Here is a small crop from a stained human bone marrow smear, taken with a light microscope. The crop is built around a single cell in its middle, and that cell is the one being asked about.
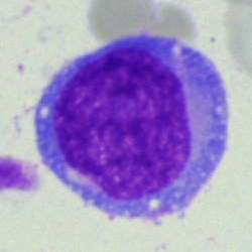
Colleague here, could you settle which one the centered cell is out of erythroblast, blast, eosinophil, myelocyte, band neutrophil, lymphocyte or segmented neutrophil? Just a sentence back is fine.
The cell at the centre of the field is a blast.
